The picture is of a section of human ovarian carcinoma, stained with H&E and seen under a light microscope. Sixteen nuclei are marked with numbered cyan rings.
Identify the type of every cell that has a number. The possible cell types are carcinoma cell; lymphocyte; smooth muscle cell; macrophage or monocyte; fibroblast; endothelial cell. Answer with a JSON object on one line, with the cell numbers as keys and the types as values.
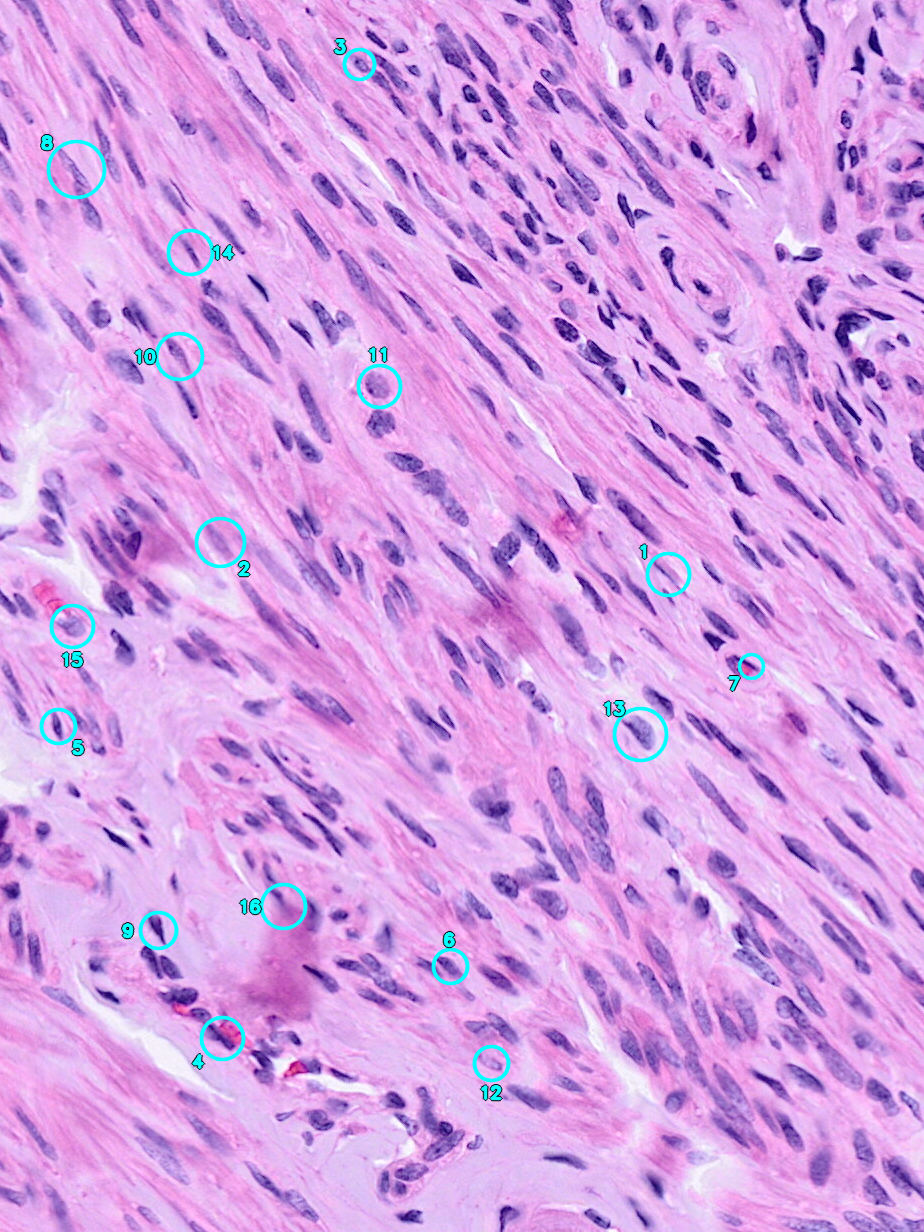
{"1": "fibroblast", "2": "smooth muscle cell", "3": "smooth muscle cell", "4": "endothelial cell", "5": "smooth muscle cell", "6": "smooth muscle cell", "7": "endothelial cell", "8": "smooth muscle cell", "9": "fibroblast", "10": "smooth muscle cell", "11": "endothelial cell", "12": "smooth muscle cell", "13": "fibroblast", "14": "smooth muscle cell", "15": "endothelial cell", "16": "smooth muscle cell"}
